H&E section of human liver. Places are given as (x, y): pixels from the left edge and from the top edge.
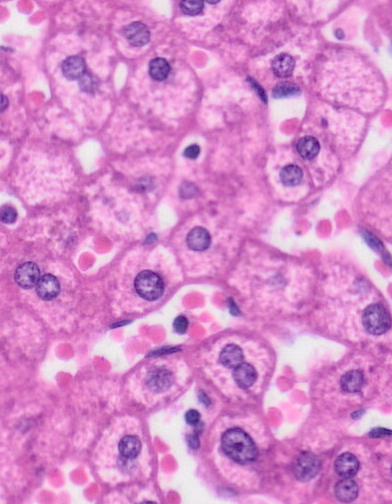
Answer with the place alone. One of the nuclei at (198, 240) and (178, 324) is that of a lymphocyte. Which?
(178, 324)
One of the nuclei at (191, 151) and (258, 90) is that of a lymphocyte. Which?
(191, 151)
